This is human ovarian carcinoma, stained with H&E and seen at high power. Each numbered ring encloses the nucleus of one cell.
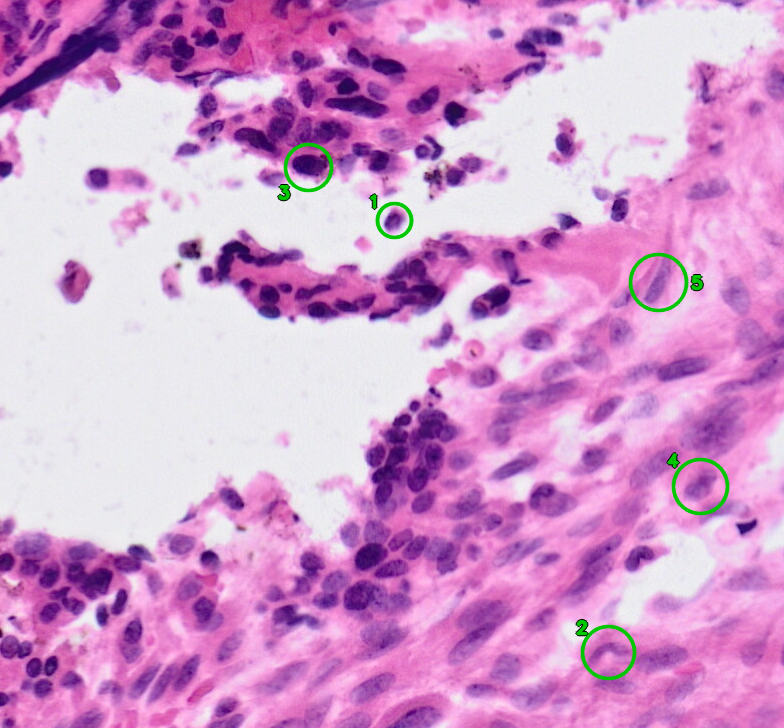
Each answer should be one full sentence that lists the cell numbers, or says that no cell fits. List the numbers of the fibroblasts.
Cells 2, 4 and 5 in the section are typed as fibroblasts.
